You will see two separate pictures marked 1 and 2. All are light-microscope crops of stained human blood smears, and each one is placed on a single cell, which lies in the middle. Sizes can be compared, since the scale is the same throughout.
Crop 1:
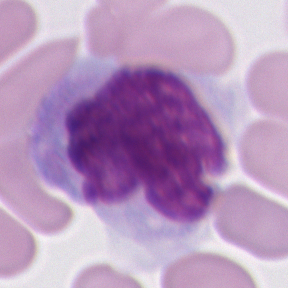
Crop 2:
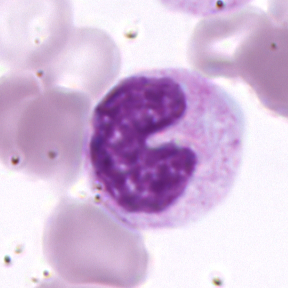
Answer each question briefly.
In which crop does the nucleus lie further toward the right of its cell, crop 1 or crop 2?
1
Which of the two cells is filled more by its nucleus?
1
